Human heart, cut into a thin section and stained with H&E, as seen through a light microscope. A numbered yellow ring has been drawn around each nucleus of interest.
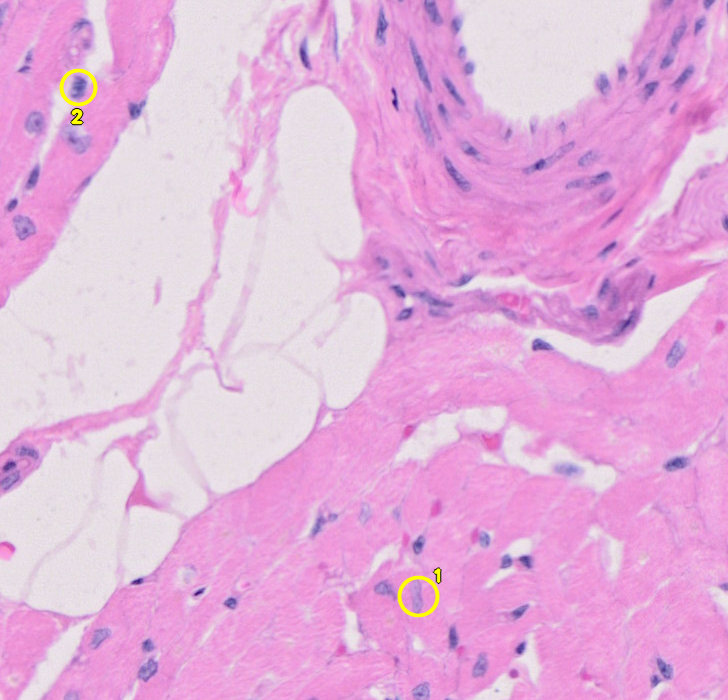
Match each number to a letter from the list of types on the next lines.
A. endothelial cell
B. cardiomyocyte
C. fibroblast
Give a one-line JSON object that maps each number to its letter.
{"1": "B", "2": "C"}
